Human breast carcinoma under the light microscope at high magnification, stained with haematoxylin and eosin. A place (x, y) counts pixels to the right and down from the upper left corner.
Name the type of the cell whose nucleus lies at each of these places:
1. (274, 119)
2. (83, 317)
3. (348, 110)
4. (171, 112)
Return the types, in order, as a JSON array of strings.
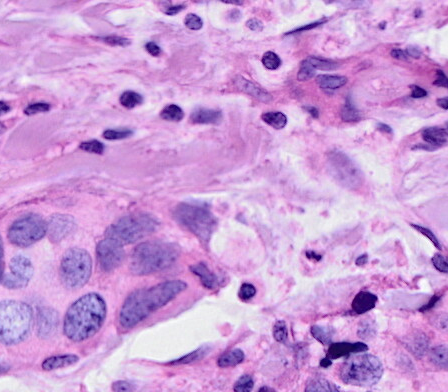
["lymphocyte", "carcinoma cell", "endothelial cell", "lymphocyte"]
